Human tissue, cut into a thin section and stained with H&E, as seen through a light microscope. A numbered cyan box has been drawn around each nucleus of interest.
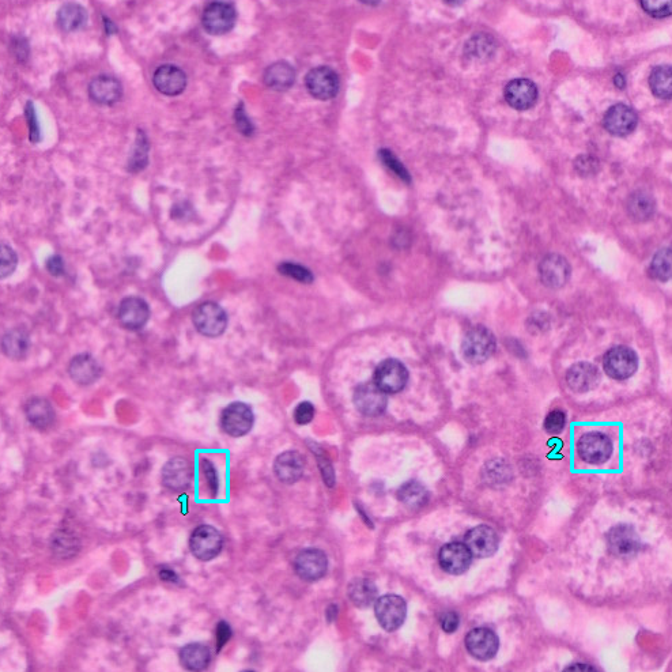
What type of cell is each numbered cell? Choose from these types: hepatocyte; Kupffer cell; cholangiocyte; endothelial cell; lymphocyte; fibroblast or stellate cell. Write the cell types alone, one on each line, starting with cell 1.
endothelial cell
hepatocyte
